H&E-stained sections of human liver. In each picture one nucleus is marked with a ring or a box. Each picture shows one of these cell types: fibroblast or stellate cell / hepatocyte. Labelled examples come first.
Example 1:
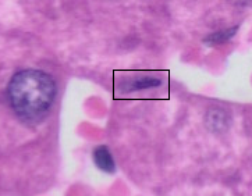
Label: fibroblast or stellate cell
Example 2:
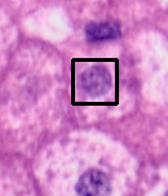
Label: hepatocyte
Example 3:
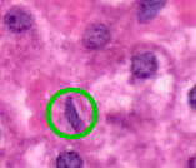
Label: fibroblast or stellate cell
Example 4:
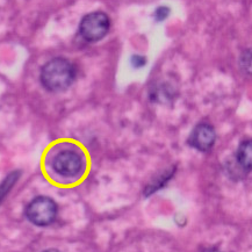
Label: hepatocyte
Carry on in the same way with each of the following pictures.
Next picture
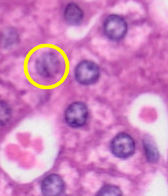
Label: hepatocyte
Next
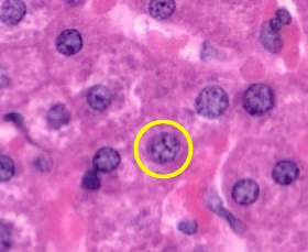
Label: hepatocyte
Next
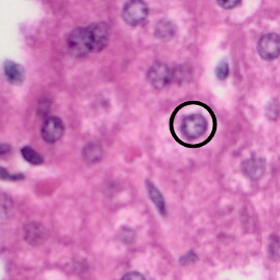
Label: hepatocyte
